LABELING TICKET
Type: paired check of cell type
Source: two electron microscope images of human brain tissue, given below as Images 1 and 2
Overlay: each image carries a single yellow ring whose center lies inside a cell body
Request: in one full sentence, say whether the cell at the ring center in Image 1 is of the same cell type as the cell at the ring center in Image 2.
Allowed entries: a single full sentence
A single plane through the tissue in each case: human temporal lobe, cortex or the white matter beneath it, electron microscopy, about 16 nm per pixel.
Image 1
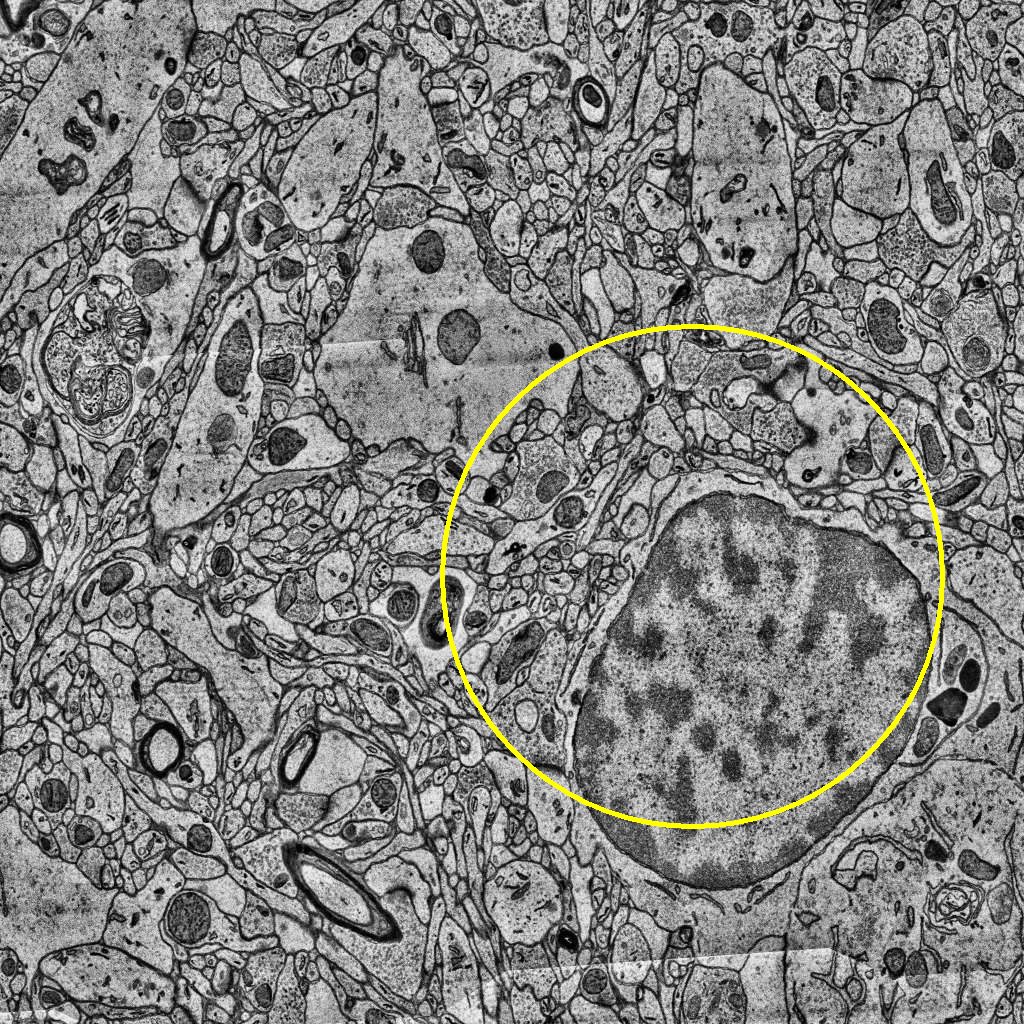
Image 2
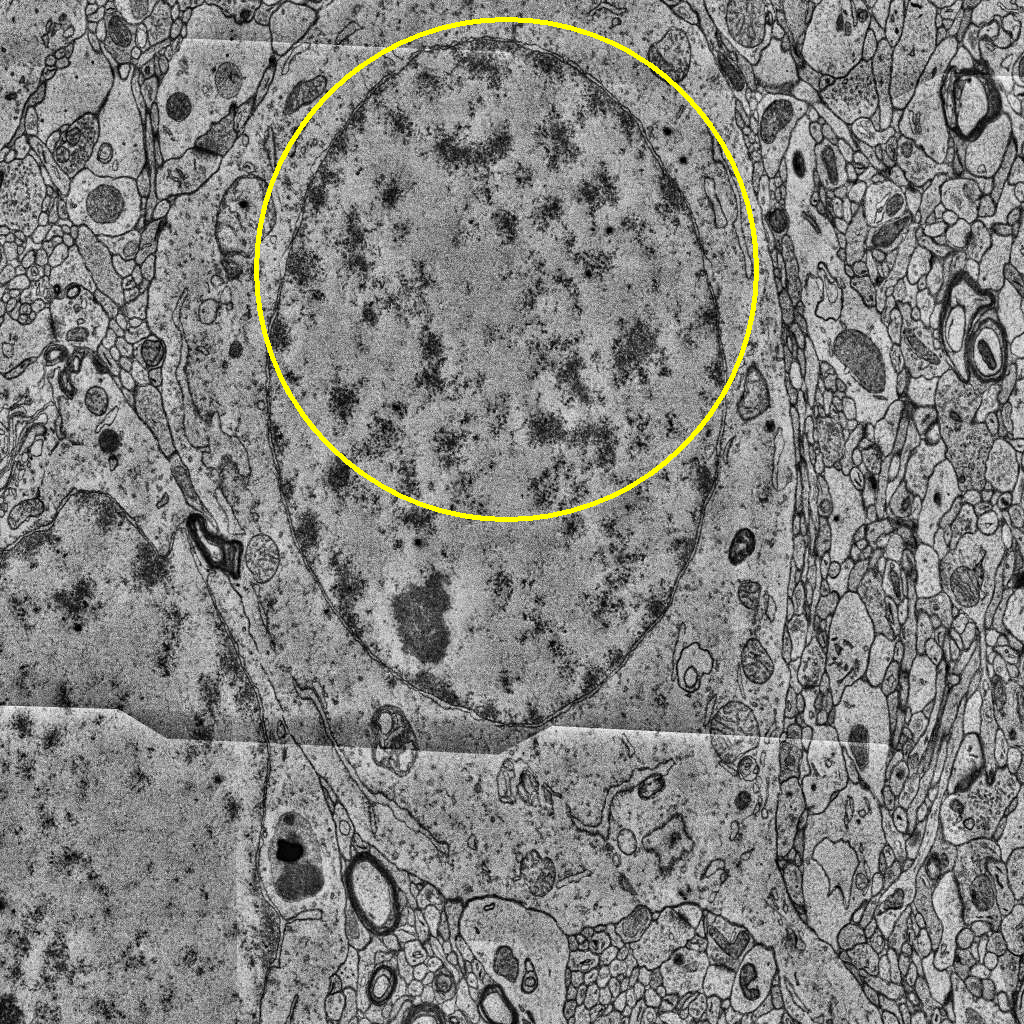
No, the cells at the ring centers of Image 1 and Image 2 are of two types.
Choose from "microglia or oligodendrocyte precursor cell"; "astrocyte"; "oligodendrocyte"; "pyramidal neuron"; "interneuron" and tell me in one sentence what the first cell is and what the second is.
Here the first cell is a microglial cell or oligodendrocyte precursor cell and the second cell is a pyramidal neuron.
